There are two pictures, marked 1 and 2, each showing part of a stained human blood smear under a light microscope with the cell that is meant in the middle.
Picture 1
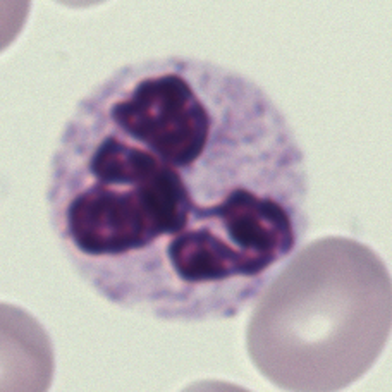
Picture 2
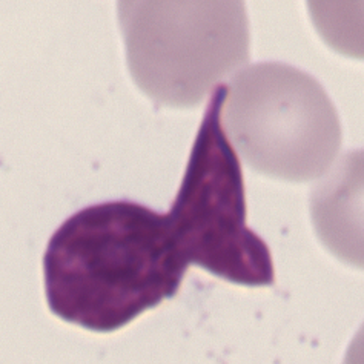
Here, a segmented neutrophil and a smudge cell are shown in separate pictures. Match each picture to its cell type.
1: segmented neutrophil
2: smudge cell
